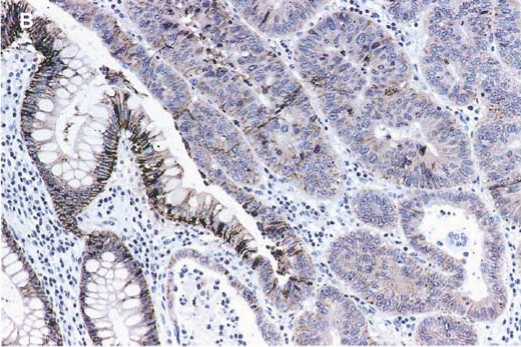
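At left normal colonic glands with goblet cells have their columnar epithelial cells outlined by dark brown stain along the cell borders. At right the tumour glands of cancer cells, with crowded elongated nuclei, show only faint or patchy brown at their borders. The stroma between the glands holds scattered small blue cells and is unstained.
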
